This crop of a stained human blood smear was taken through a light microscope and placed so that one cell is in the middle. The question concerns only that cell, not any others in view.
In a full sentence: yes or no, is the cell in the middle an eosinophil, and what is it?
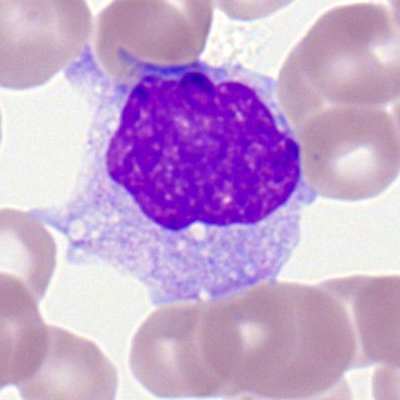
No, the middle cell is actually a monocyte rather than an eosinophil.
